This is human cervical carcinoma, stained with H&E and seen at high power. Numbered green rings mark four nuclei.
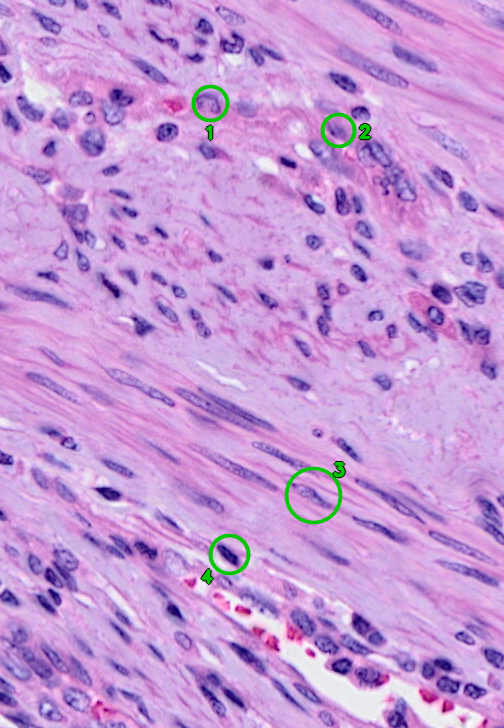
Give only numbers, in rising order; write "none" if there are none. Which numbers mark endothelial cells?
1, 2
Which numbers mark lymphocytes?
4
